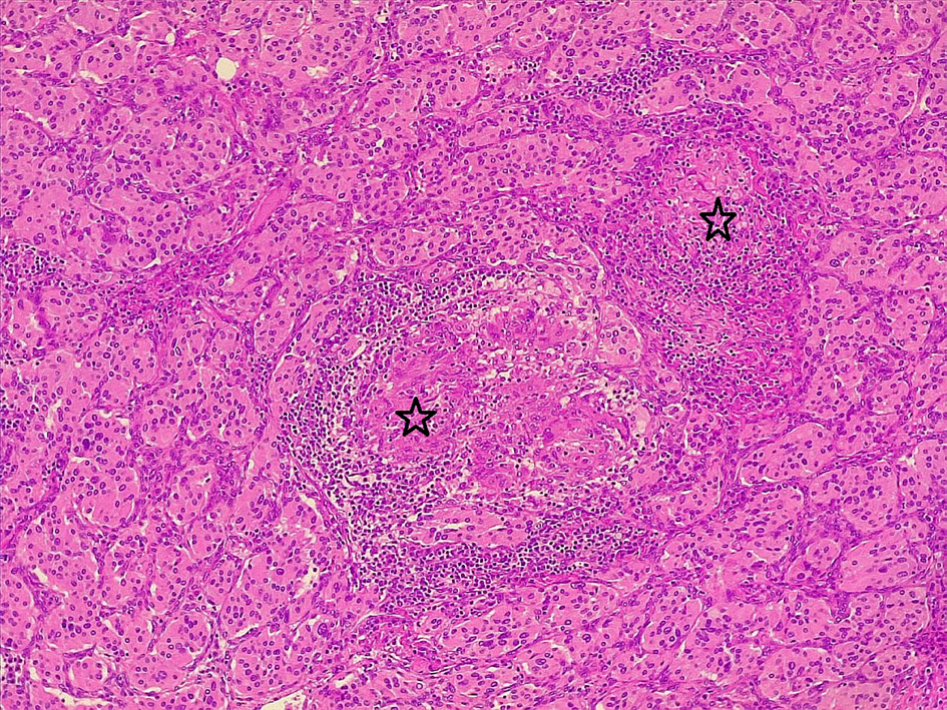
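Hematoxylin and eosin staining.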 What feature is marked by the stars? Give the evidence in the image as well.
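Rounded, circumscribed foci of pale pink cells with elongated, pale nuclei. Each focus is rimmed by a dense collar of small, dark round nuclei. No pink amorphous necrotic centre is seen within the foci.
Hence: non-necrotizing epithelioid granuloma.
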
